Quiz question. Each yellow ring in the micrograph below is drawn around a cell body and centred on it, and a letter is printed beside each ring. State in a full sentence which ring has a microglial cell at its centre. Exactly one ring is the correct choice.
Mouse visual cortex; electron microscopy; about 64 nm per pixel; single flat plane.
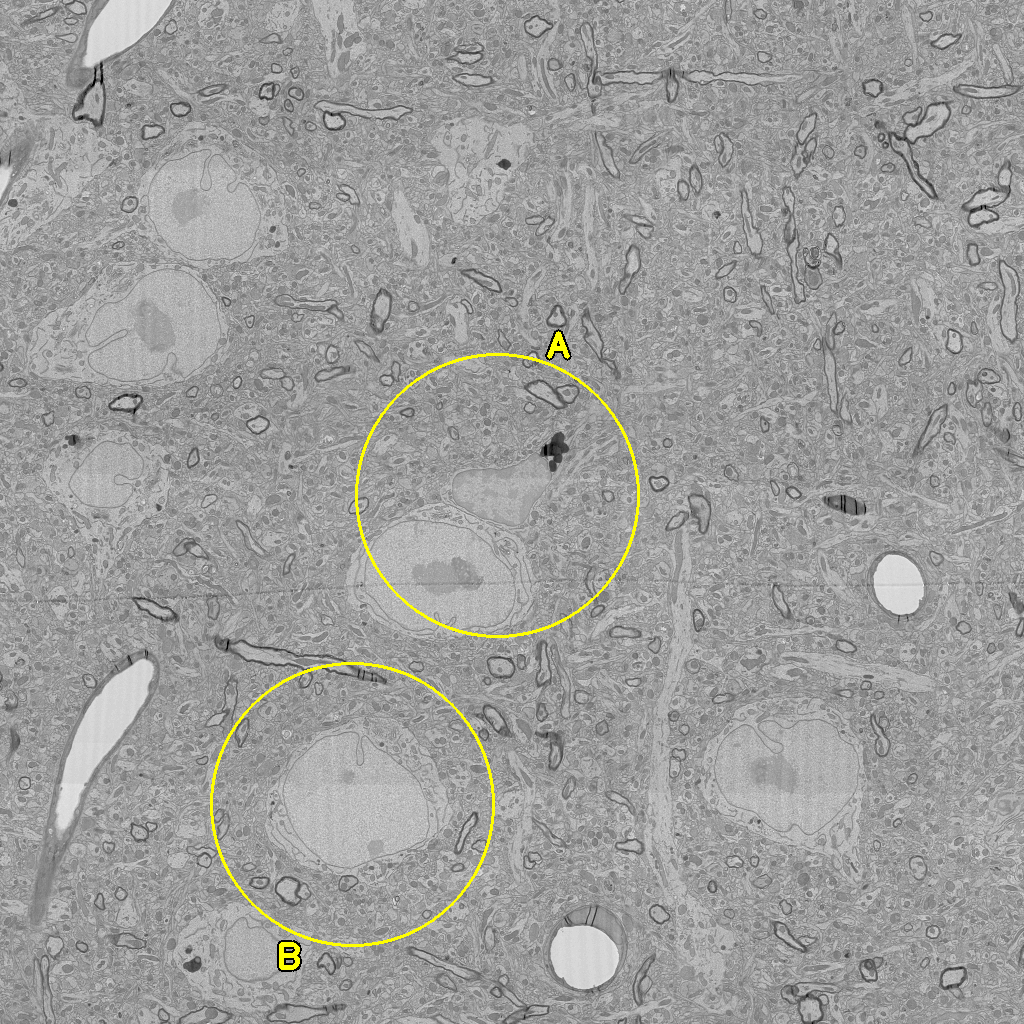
The correct ring is ring A.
